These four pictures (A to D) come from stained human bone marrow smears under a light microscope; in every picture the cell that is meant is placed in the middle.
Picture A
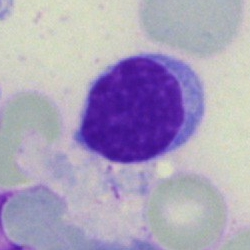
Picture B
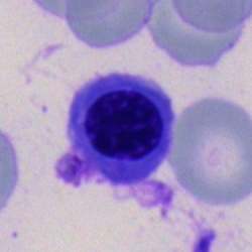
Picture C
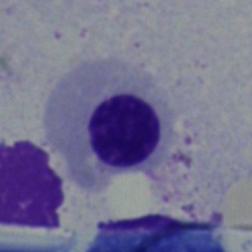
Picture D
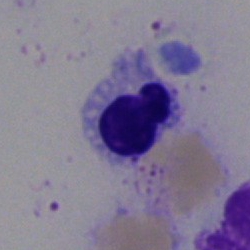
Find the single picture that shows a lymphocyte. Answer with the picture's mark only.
A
